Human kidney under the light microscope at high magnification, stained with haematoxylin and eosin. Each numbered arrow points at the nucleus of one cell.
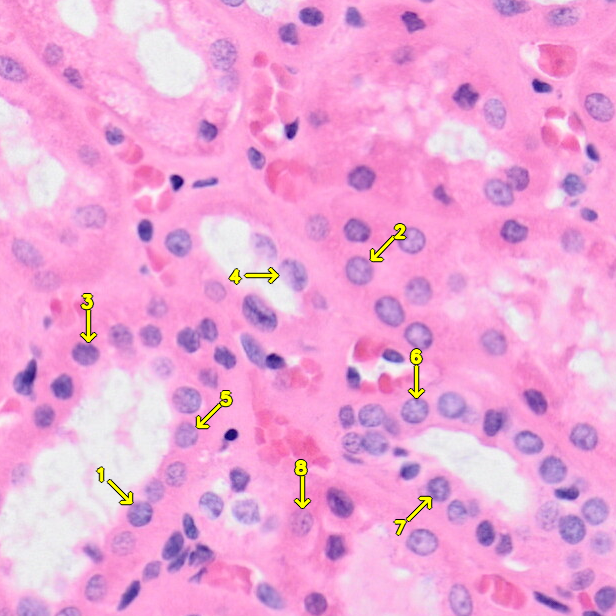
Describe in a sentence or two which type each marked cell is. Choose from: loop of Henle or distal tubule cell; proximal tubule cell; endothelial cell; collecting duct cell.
Cell 1 is a loop of Henle or distal tubule cell, cell 2 is a proximal tubule cell, cell 3 is a loop of Henle or distal tubule cell, cell 4 is a loop of Henle or distal tubule cell, cell 5 is a loop of Henle or distal tubule cell, cell 6 is a collecting duct cell, cell 7 is a collecting duct cell and cell 8 is a proximal tubule cell.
